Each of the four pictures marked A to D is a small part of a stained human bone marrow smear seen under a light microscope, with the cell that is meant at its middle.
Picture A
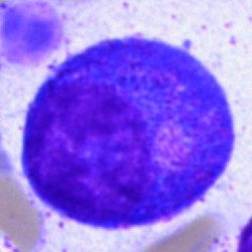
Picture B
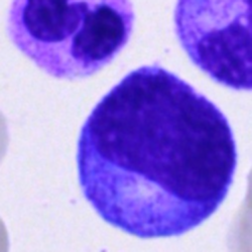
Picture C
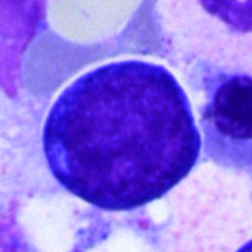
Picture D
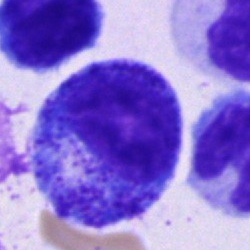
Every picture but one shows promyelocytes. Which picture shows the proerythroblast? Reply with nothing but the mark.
C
